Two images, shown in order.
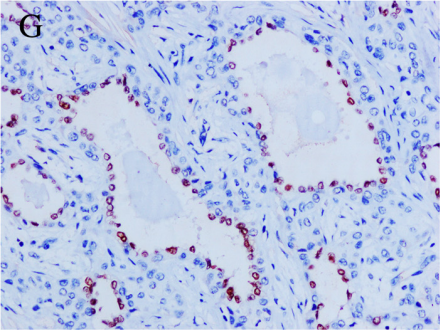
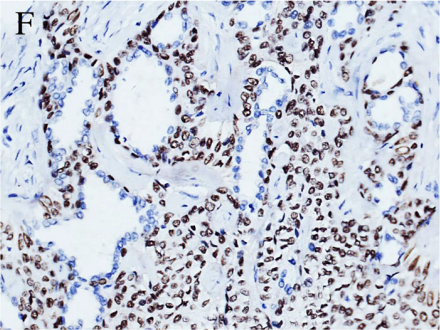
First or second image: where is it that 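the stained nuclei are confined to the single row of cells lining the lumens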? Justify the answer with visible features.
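The first image. Second image: brown nuclei fill the solid nests, while the cells lining the lumens stay unstained. First image: red-brown nuclei only in the row lining the lumens; surrounding cells blue.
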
